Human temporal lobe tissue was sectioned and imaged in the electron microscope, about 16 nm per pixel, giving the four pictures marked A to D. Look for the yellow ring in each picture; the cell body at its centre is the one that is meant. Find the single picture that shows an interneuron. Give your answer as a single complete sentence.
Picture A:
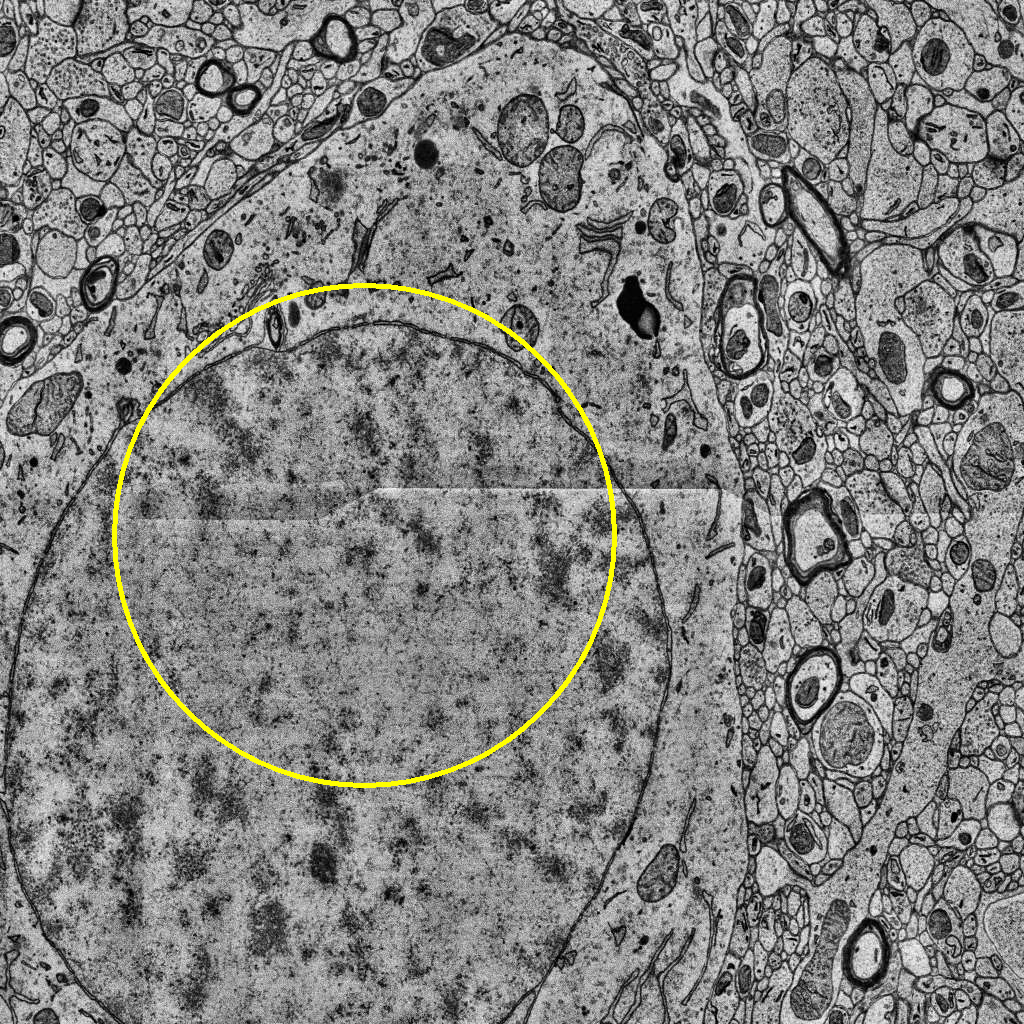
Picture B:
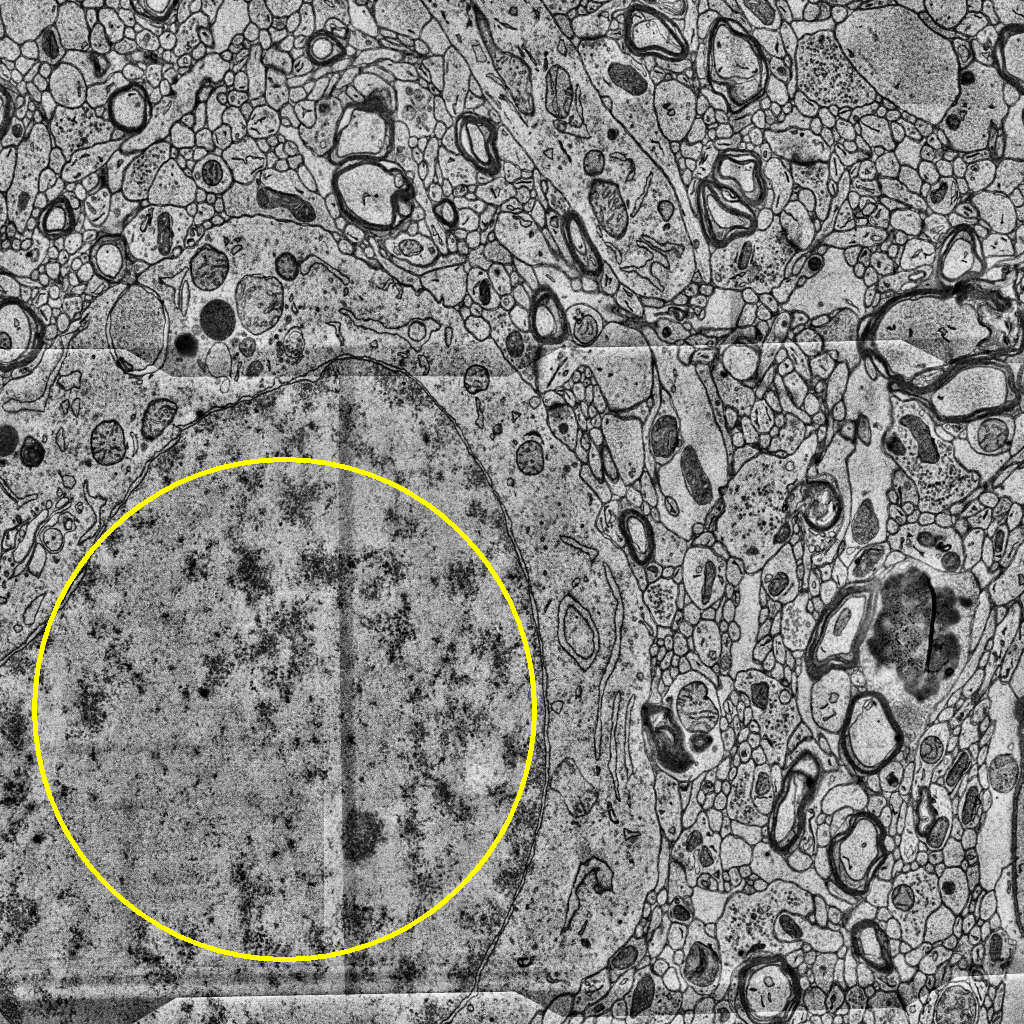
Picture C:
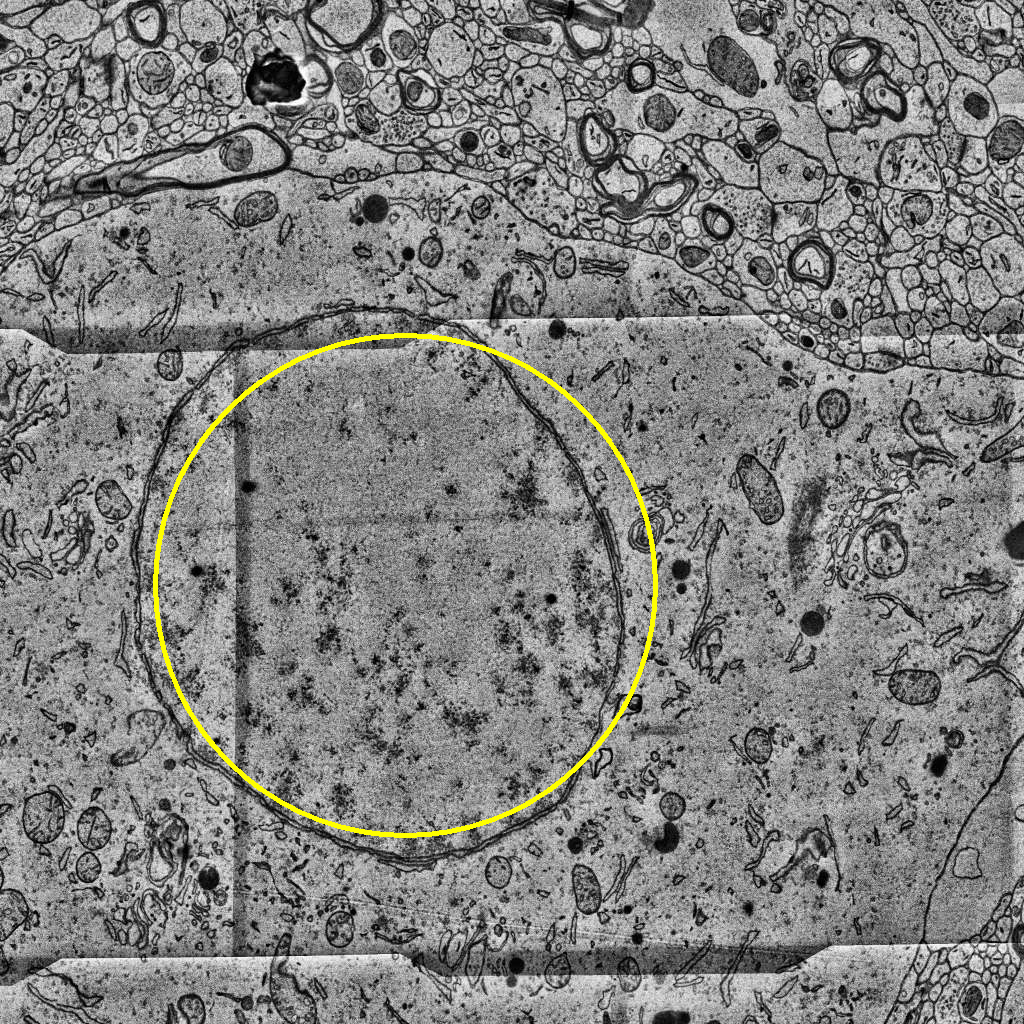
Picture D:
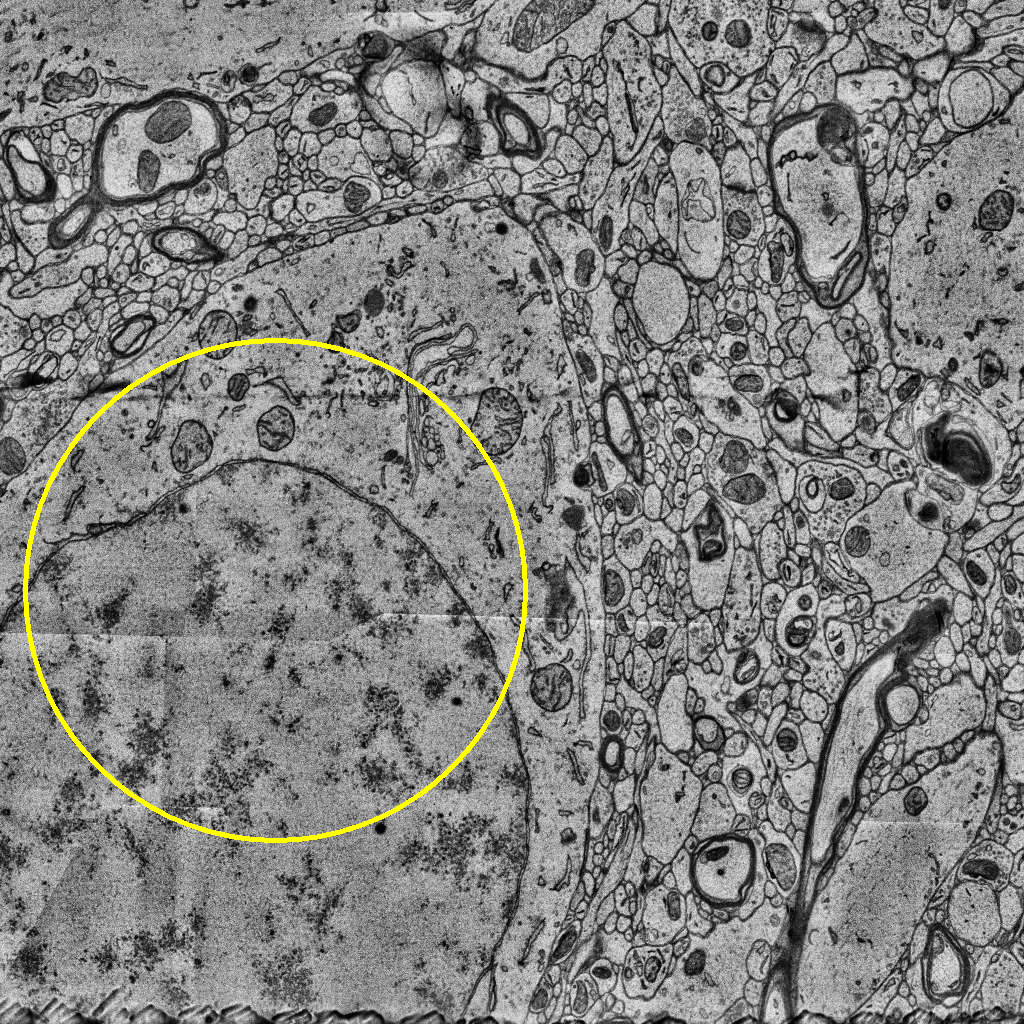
The cell in picture B is the interneuron.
